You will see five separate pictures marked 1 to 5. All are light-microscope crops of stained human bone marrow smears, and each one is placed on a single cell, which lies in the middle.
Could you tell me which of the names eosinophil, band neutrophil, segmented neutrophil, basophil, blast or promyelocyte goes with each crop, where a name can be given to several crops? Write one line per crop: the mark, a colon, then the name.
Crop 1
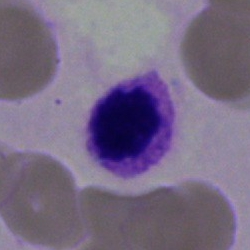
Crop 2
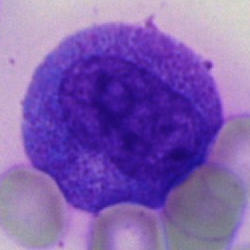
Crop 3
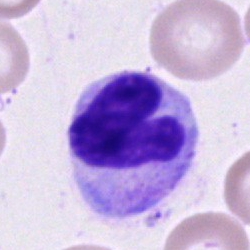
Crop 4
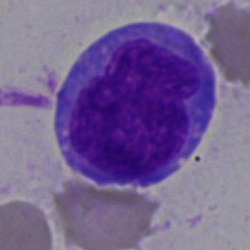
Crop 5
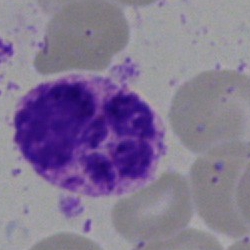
1: basophil
2: promyelocyte
3: band neutrophil
4: blast
5: segmented neutrophil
